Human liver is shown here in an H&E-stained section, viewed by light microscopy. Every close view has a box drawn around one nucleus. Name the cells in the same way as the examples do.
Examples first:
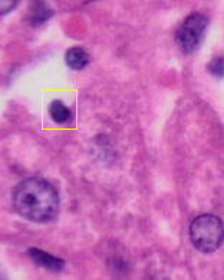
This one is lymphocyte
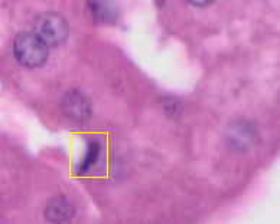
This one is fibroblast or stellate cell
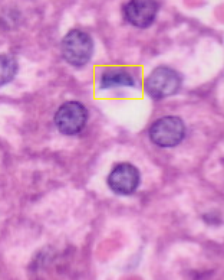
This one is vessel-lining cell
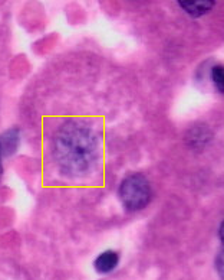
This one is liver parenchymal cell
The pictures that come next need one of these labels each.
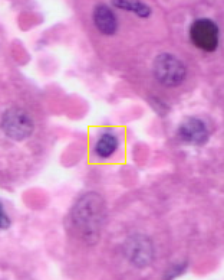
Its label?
lymphocyte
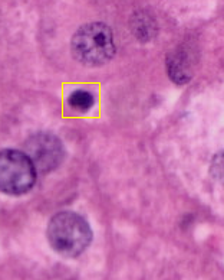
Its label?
lymphocyte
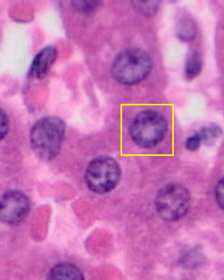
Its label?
liver parenchymal cell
